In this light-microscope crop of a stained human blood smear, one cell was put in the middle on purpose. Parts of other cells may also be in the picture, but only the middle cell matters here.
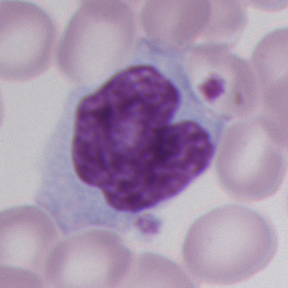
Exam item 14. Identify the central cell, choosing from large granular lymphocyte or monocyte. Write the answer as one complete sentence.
The central cell shown in this smear crop is a monocyte.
